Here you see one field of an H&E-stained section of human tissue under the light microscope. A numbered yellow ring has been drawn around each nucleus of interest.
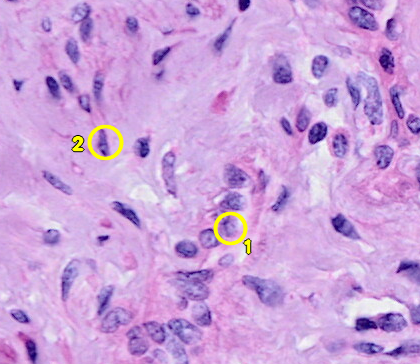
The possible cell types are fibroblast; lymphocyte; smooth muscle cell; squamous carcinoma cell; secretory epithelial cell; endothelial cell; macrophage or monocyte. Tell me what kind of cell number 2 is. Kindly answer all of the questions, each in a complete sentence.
Cell 2 in the field is a smooth muscle cell.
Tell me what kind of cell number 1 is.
The identity of cell 1 is that of an endothelial cell.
